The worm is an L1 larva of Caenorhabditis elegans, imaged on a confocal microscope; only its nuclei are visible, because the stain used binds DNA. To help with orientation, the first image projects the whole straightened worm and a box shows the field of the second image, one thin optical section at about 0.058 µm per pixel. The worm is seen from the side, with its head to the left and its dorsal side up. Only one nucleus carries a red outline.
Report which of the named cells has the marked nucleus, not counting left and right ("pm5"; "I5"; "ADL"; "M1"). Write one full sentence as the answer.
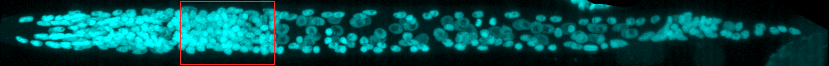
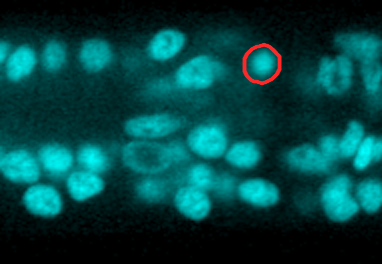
It belongs to M1, a neuron.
